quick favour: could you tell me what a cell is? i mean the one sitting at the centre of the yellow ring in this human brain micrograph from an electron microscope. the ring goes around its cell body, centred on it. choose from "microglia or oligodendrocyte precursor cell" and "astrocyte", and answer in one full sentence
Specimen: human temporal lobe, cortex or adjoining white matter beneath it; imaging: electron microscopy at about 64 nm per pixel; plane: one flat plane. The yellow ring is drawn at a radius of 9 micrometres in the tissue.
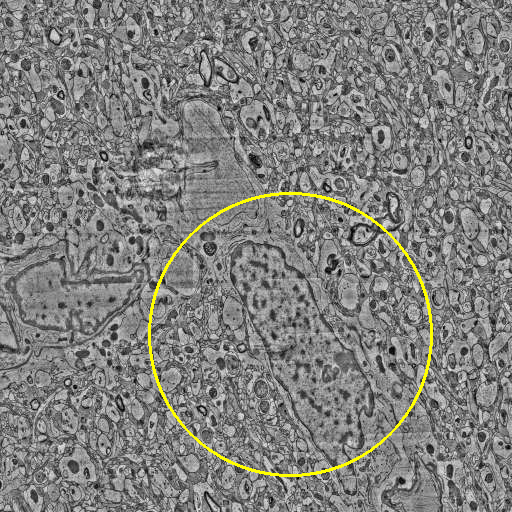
That's a microglial cell or oligodendrocyte precursor cell, the cell sitting at the centre of the yellow ring.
